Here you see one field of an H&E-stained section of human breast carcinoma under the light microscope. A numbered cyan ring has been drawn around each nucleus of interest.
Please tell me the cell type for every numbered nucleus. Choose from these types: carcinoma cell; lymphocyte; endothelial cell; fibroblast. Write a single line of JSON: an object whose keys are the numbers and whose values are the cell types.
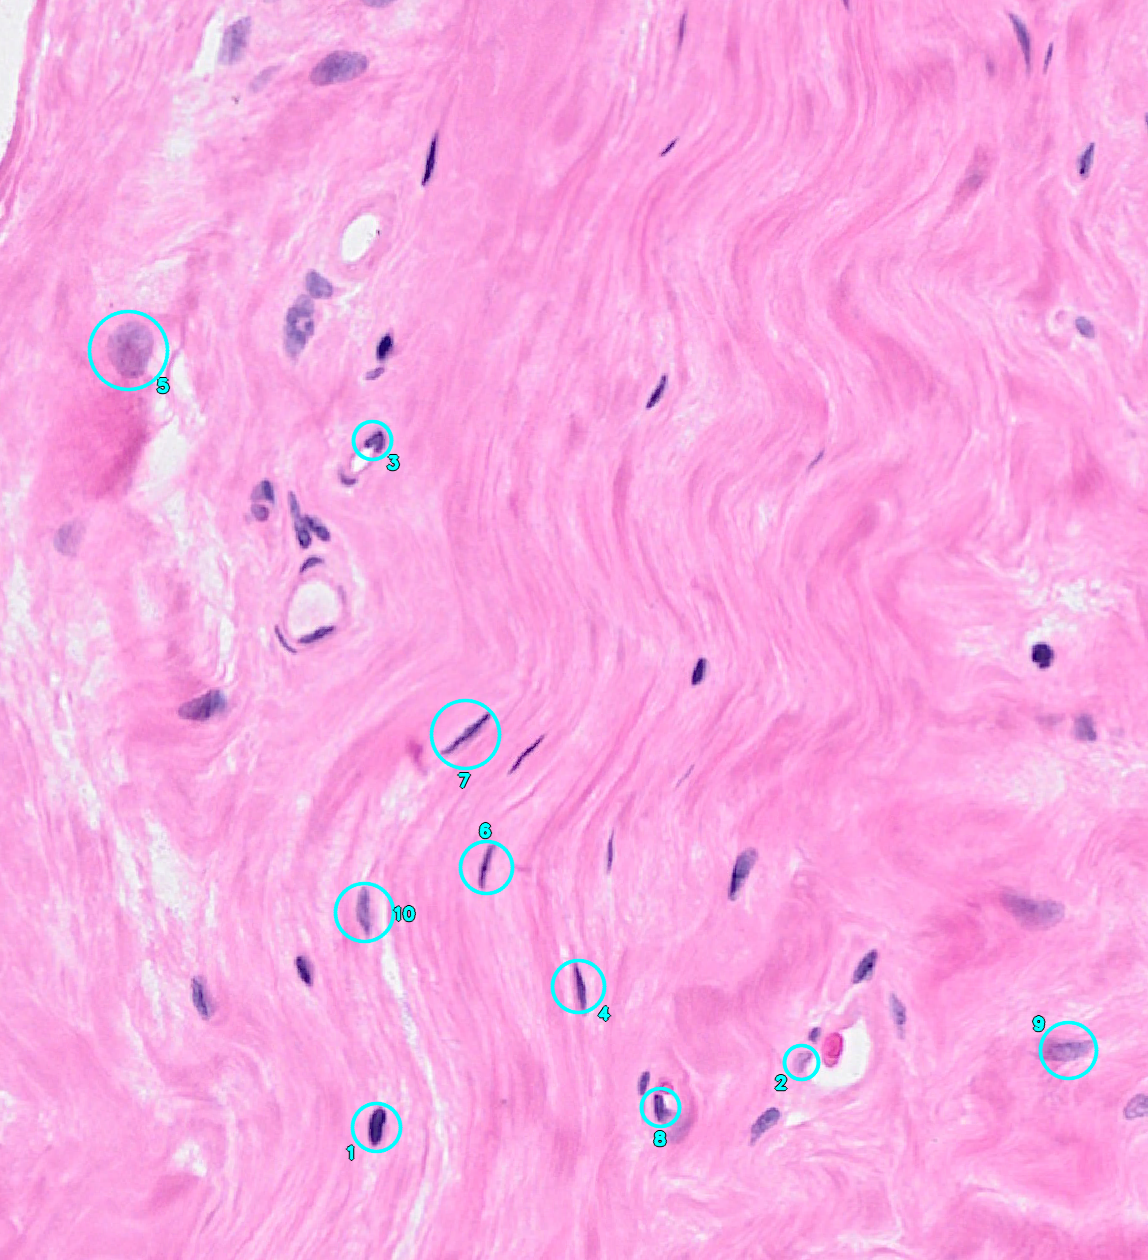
{"1": "lymphocyte", "2": "endothelial cell", "3": "endothelial cell", "4": "fibroblast", "5": "fibroblast", "6": "fibroblast", "7": "fibroblast", "8": "endothelial cell", "9": "fibroblast", "10": "fibroblast"}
